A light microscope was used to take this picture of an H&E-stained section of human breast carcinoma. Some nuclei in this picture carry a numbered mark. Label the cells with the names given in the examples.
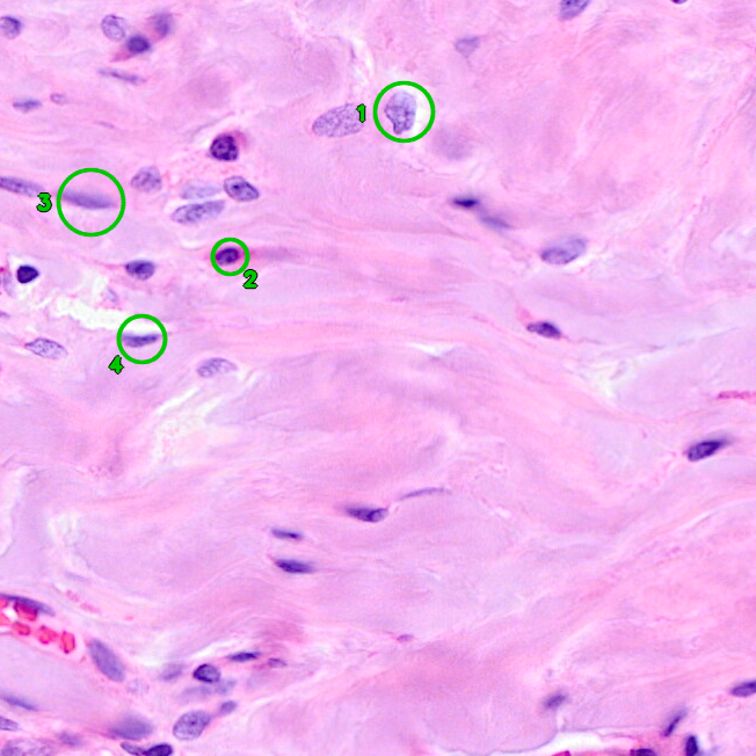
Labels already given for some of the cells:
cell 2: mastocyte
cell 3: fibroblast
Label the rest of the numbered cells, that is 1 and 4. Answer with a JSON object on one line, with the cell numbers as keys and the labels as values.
{"1": "fibroblast", "4": "fibroblast"}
